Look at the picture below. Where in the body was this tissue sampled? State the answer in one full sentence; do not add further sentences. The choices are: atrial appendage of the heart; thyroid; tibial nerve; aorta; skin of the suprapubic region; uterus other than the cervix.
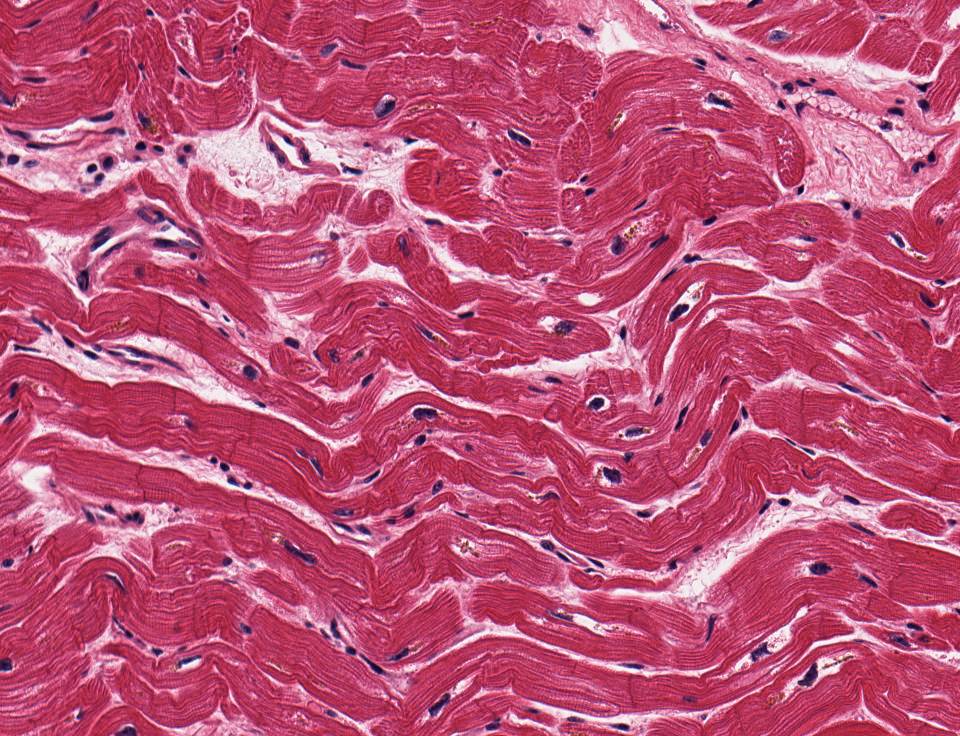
The tissue sectioned for this slide came from the atrial appendage of the heart.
